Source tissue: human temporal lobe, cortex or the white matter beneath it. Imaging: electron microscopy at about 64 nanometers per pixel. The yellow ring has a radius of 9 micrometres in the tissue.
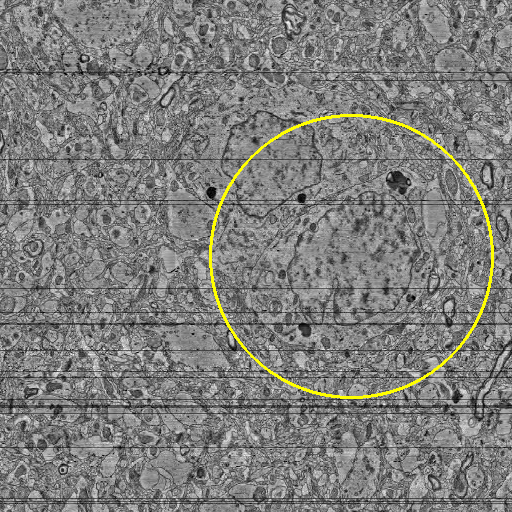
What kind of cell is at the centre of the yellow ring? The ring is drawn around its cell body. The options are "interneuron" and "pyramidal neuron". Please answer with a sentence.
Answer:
The yellow ring marks the cell body of an interneuron.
